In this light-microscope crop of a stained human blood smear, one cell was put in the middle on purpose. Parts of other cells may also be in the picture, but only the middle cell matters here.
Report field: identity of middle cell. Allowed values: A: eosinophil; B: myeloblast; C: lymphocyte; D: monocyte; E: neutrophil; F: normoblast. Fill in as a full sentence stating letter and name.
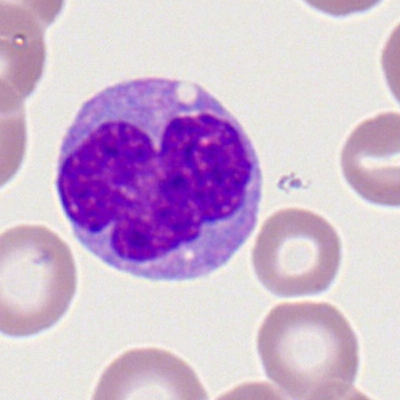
Located in the middle of the crop is a monocyte, and option D is therefore correct.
